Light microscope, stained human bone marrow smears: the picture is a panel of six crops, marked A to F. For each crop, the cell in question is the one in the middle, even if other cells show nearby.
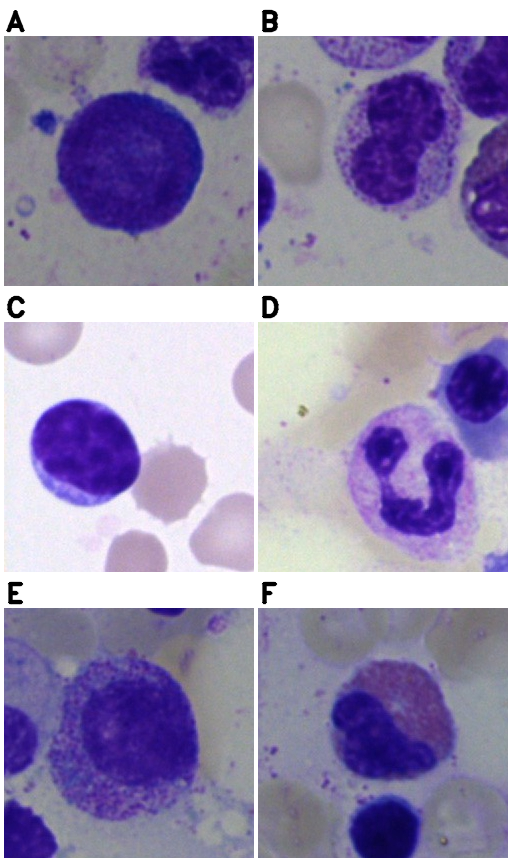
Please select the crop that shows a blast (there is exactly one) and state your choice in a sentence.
The crop carrying a blast at the center is crop A.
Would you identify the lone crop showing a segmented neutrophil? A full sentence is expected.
When the crops are compared, crop D is the one showing a segmented neutrophil.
